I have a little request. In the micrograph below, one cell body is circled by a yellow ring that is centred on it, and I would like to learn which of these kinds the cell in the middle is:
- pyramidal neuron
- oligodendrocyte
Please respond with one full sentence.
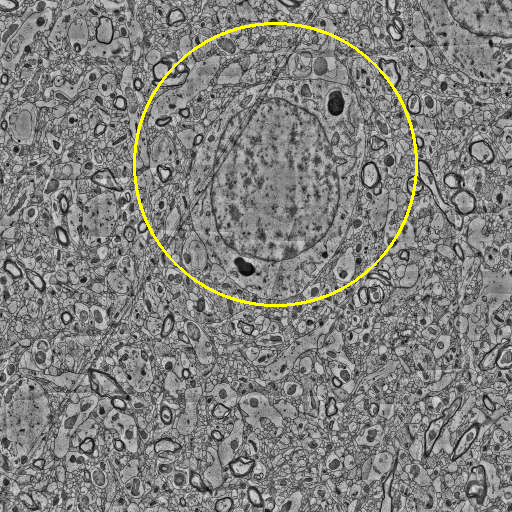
The cell sitting in the middle of the yellow ring in the micrograph is a pyramidal neuron.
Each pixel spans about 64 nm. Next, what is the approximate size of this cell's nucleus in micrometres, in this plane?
In this plane the nucleus measures roughly 10 by 8 micrometres.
